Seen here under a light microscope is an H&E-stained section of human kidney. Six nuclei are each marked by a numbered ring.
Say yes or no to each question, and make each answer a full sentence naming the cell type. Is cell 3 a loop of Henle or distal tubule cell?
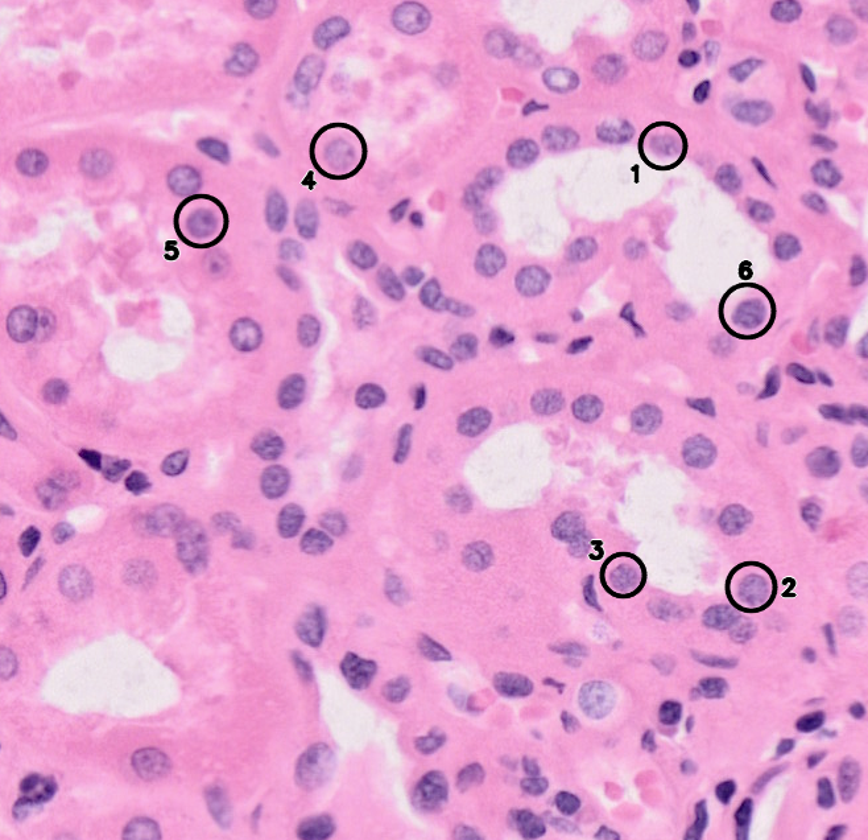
Yes, the cell carrying label 3 is a loop of Henle or distal tubule cell.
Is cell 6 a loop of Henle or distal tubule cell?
Yes, the cell at marker 6 is a loop of Henle or distal tubule cell.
